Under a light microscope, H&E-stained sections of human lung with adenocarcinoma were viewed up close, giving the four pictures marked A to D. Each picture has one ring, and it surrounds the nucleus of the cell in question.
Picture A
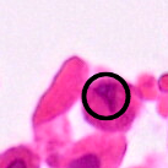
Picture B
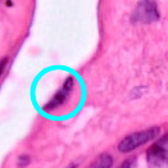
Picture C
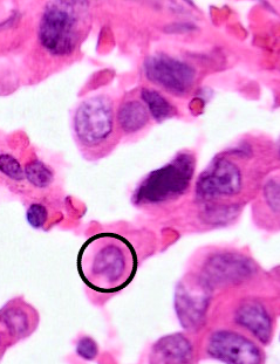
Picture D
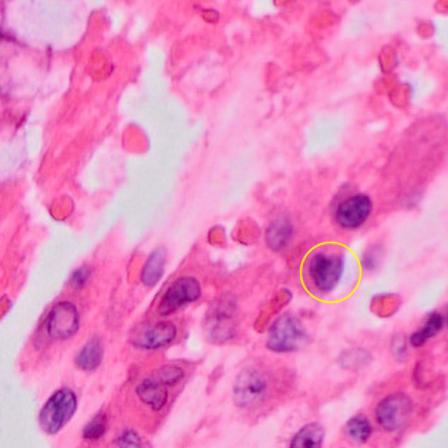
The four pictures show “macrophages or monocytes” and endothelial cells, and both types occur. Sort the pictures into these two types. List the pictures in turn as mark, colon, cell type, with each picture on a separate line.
A: macrophage or monocyte
B: endothelial cell
C: macrophage or monocyte
D: macrophage or monocyte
